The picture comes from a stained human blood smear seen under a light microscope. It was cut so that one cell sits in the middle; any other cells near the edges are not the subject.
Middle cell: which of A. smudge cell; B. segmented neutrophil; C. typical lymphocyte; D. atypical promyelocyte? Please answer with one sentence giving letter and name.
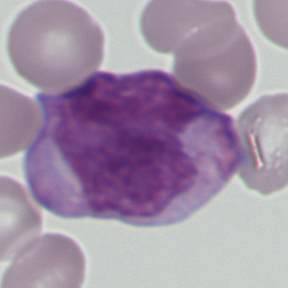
The cell right in the middle is an atypical promyelocyte, so option D is the one.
